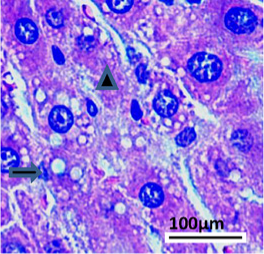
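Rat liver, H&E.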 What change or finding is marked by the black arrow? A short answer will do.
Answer: fatty changes within hepatocytes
